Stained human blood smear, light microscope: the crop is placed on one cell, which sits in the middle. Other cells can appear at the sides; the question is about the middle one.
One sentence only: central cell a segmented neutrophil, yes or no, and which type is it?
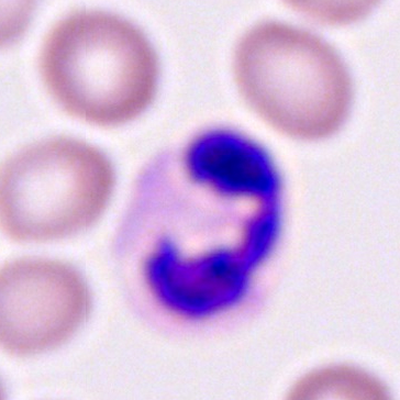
Yes, the cell in the middle of the view is a segmented neutrophil.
